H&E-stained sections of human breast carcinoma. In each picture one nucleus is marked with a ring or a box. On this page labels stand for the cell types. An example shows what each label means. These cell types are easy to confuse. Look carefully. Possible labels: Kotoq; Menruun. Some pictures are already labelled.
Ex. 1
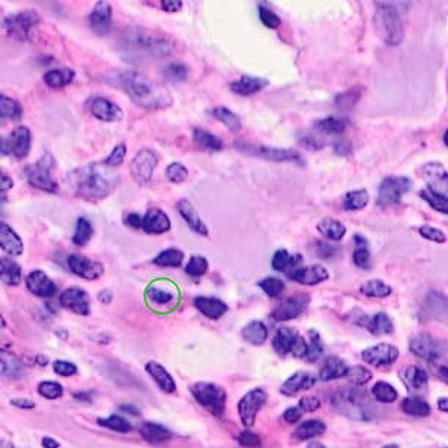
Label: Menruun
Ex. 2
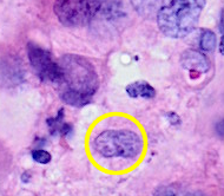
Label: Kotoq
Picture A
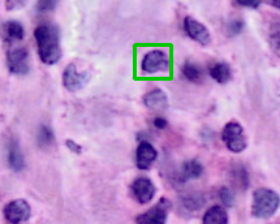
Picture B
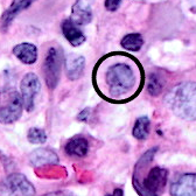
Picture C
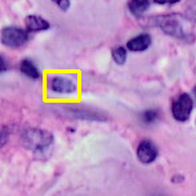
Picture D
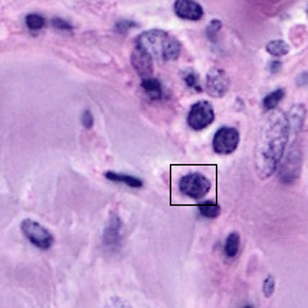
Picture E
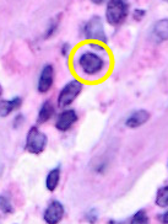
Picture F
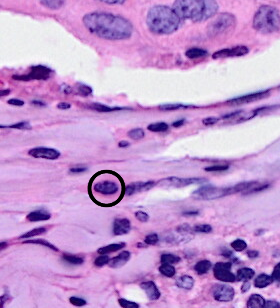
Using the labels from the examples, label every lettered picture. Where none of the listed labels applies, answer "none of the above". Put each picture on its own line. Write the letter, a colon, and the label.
A: Menruun
B: Kotoq
C: Menruun
D: Menruun
E: Menruun
F: none of the above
